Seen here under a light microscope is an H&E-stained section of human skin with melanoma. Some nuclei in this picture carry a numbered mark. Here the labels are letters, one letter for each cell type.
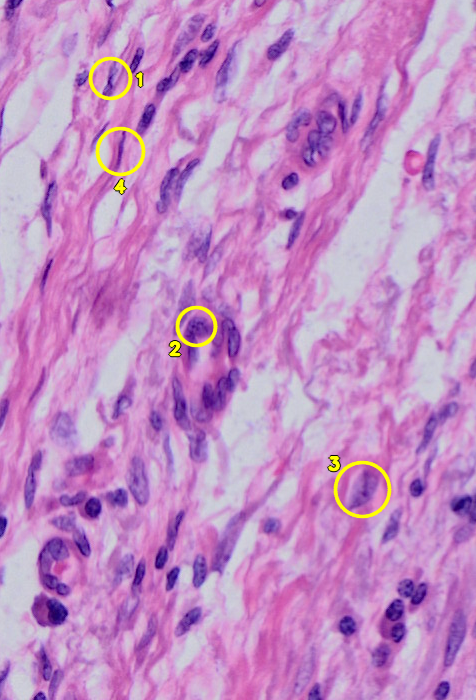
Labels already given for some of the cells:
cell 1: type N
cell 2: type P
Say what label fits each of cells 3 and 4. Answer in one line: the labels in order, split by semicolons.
type N; type N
